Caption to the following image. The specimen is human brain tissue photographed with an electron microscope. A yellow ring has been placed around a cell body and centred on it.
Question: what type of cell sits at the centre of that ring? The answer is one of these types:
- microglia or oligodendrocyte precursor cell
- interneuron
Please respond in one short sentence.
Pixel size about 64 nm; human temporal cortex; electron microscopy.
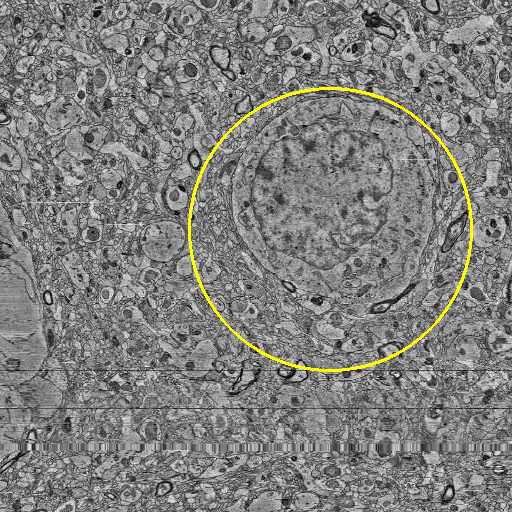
The ring surrounds the cell body of an interneuron.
